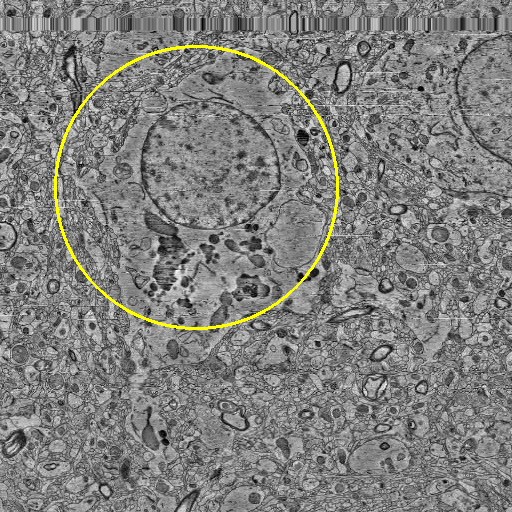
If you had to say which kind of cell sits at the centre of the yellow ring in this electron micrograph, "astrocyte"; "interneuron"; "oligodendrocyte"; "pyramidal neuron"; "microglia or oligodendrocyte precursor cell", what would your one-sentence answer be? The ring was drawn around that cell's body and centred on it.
The cell sitting at the centre of the ring is an astrocyte.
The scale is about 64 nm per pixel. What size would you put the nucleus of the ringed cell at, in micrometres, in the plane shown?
The nucleus is about 9 micrometres across in this plane.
